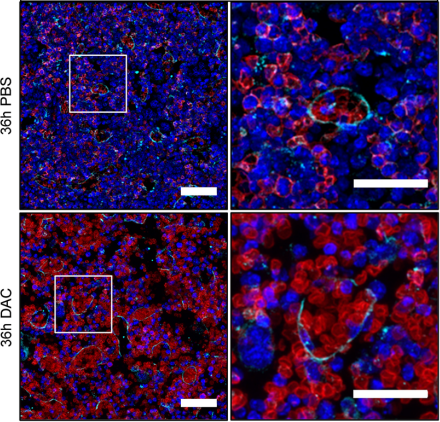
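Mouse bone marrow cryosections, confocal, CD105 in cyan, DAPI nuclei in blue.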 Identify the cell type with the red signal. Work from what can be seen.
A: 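Red blood cell. The red signal outlines many small round cells. Many red-outlined cells lack a blue nucleus.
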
